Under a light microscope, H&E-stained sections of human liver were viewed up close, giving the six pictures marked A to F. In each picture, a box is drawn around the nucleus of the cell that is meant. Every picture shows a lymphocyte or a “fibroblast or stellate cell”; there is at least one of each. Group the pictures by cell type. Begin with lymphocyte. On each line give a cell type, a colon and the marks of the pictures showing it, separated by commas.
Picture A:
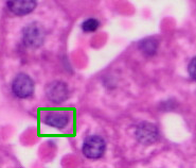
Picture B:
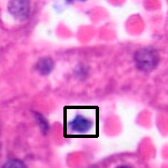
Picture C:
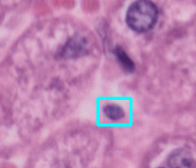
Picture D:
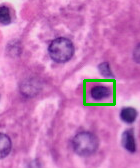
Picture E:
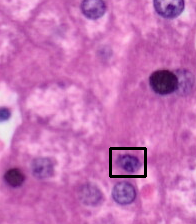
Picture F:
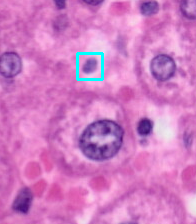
lymphocyte: B, C, D, F
fibroblast or stellate cell: A, E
